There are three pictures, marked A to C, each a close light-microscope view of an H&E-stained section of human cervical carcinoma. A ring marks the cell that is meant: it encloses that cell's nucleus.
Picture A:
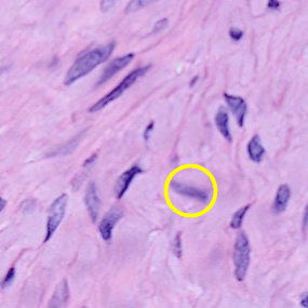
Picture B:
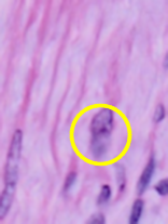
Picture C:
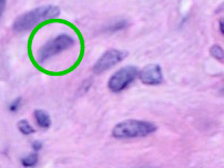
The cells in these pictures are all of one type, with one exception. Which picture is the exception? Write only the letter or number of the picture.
B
